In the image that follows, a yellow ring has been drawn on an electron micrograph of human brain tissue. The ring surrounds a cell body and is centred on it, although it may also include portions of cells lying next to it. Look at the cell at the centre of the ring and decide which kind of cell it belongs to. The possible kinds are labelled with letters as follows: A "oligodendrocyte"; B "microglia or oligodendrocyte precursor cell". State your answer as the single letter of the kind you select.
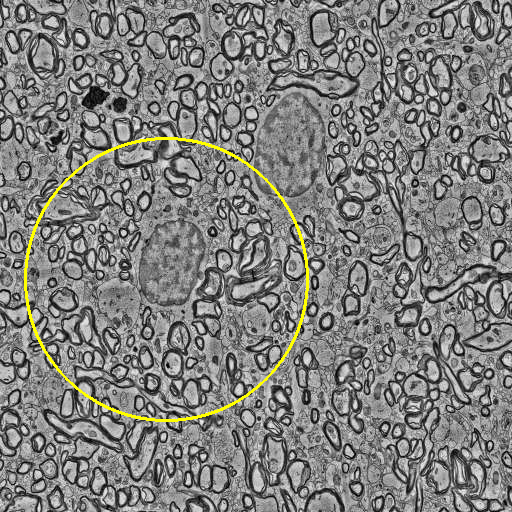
A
